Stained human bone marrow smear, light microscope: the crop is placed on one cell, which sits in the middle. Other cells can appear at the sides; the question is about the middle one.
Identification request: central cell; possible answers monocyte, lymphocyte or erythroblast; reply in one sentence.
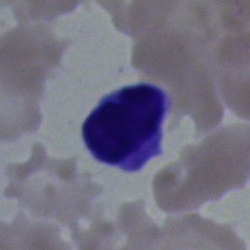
The cell nearest the centre of this crop is a lymphocyte.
